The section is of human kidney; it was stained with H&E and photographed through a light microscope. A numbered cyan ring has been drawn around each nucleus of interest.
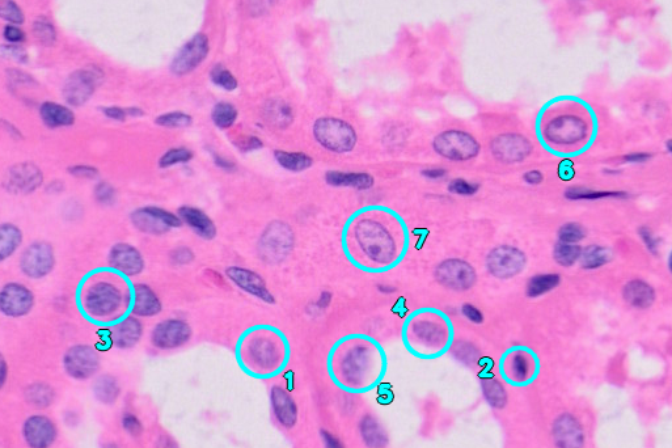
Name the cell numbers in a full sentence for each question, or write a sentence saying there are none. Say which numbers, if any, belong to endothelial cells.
Only cell 2 is an endothelial cell; none of the other numbered cells is.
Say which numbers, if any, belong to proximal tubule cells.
The cells carrying labels 6 and 7 are proximal tubule cells.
